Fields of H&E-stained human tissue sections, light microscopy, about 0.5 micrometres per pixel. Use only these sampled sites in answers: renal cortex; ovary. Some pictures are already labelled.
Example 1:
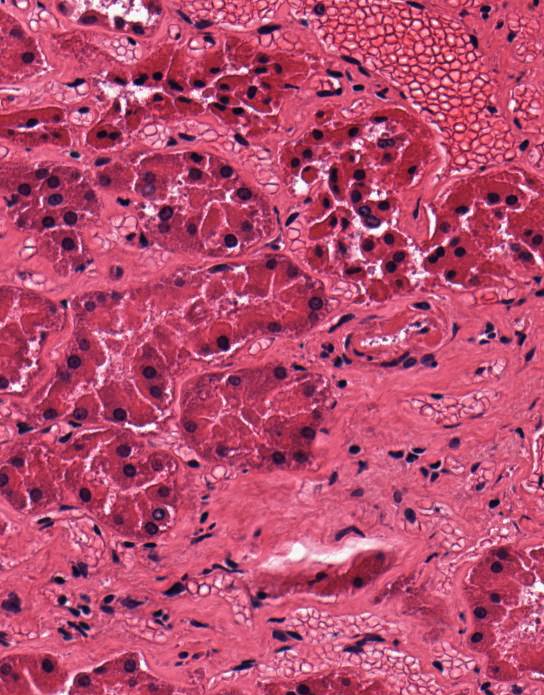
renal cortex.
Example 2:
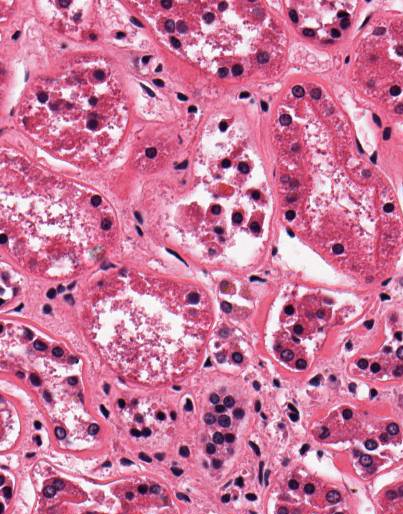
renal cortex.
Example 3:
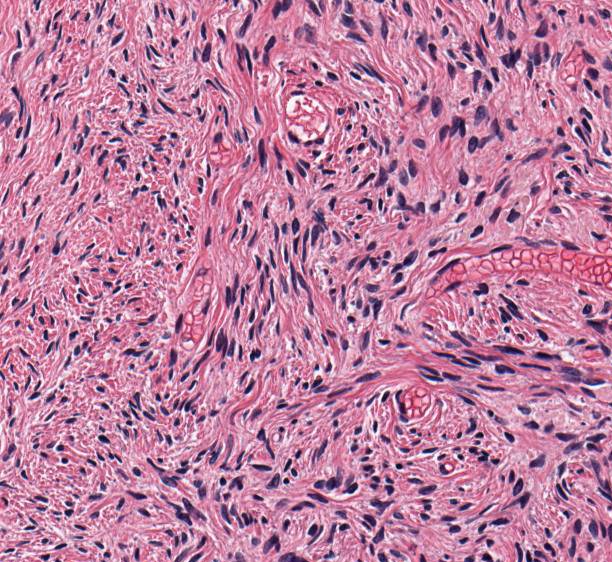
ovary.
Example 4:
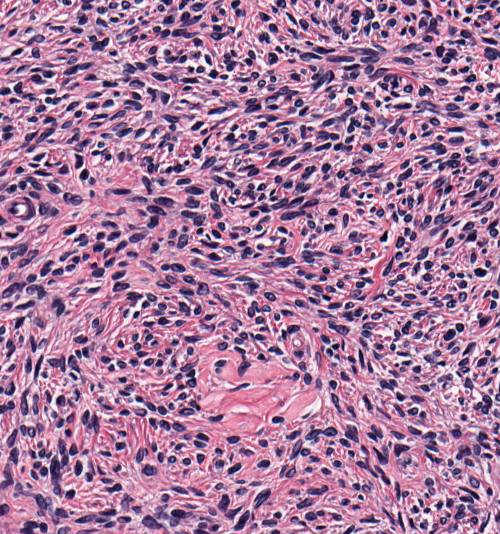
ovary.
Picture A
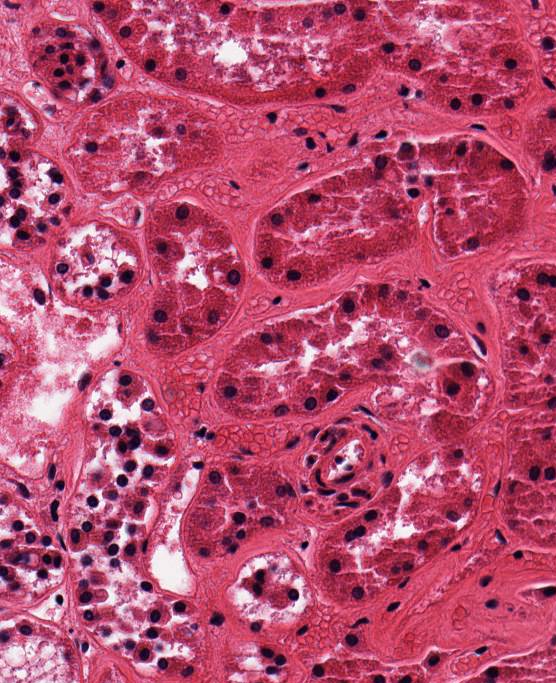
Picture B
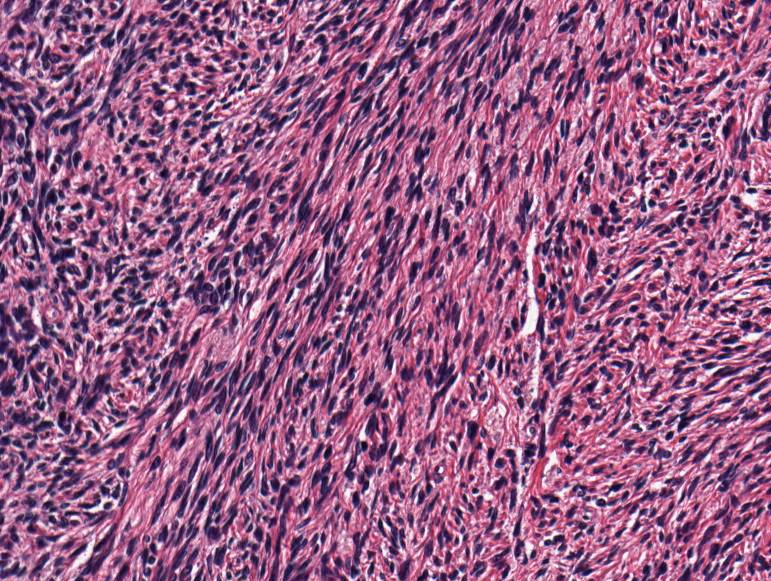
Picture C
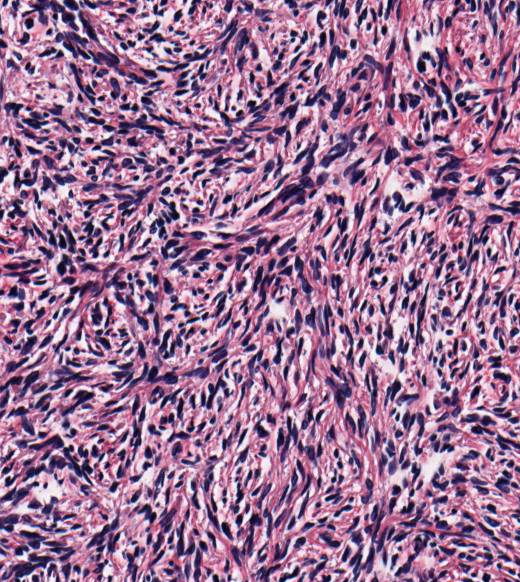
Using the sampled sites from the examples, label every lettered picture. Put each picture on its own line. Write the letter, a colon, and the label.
A: renal cortex.
B: ovary.
C: ovary.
